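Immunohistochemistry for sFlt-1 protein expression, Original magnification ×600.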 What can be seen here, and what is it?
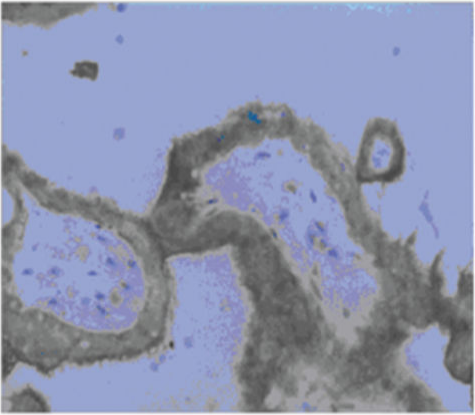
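Cross-sections of chorionic villus appear as rounded and branching profiles lying in an open space. Each profile is bounded by a continuous outer covering layer that is stained dark grey. The cores are loose and pale, with small scattered nuclei. Several profiles touch or join one another.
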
